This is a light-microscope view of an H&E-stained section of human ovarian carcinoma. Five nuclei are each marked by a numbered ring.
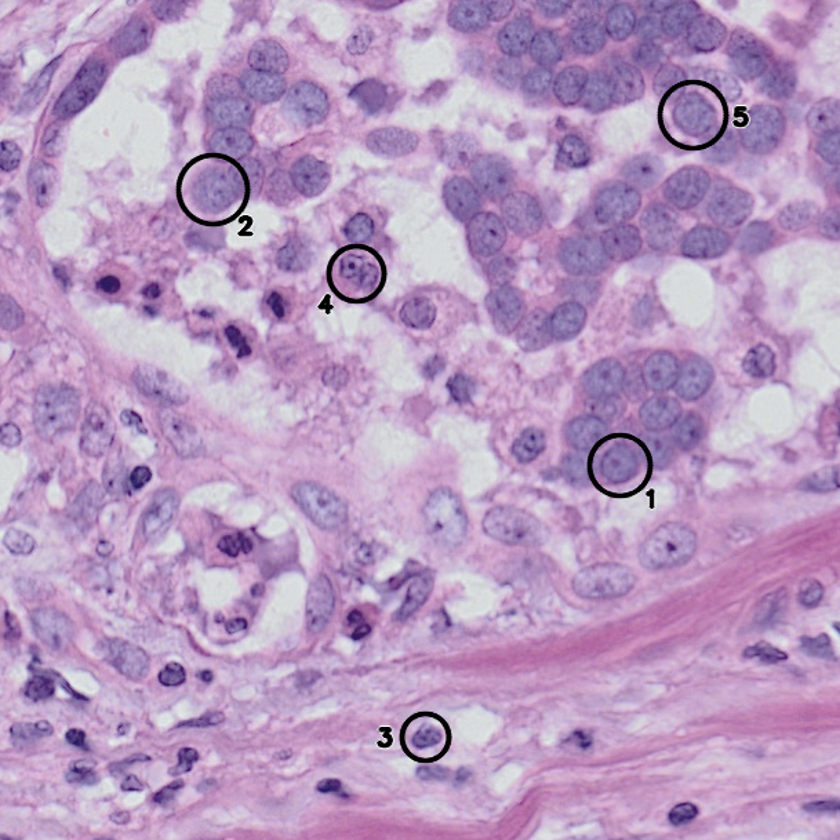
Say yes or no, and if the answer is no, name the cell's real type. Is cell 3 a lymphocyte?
Yes.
